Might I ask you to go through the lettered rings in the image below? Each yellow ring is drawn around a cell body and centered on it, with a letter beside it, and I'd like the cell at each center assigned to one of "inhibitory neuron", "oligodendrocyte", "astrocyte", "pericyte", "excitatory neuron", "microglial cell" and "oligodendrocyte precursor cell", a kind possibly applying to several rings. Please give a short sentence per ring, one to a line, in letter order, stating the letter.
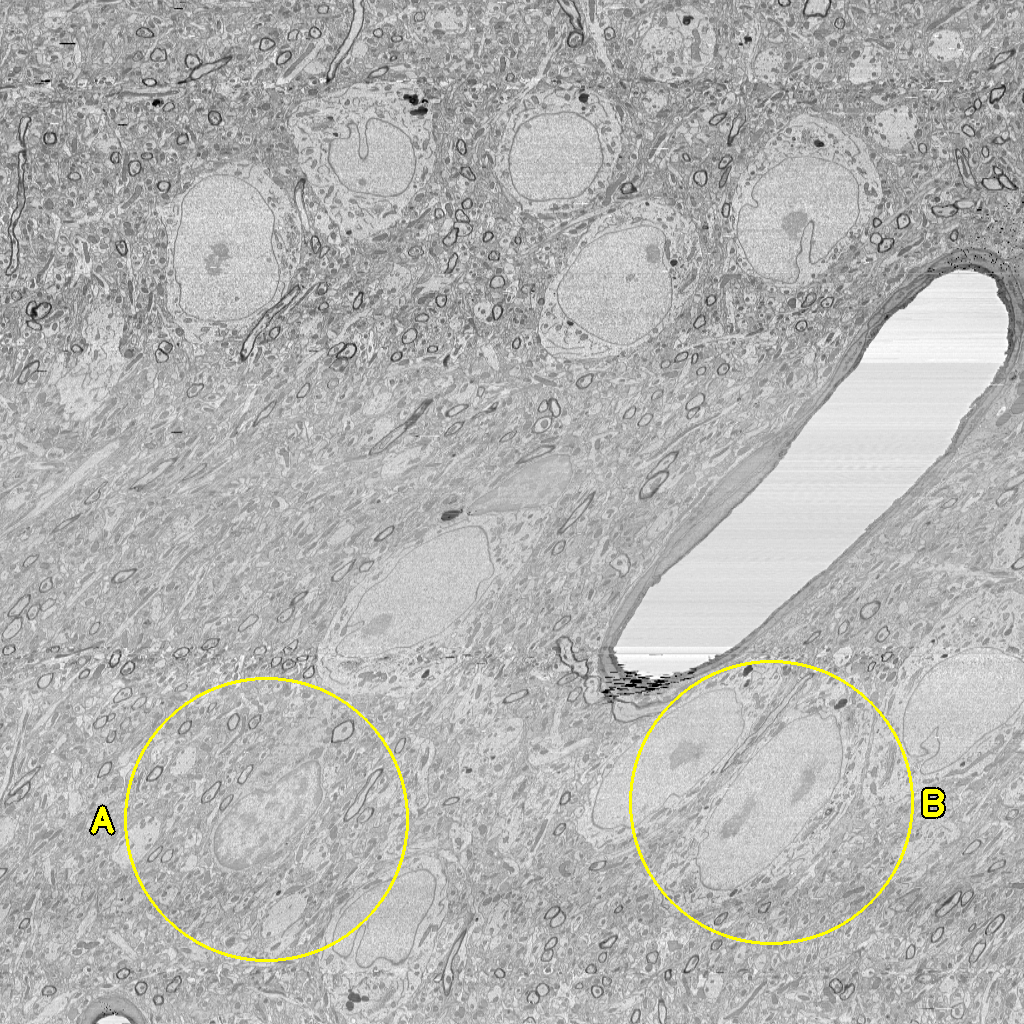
Ring A is centered on the body of an oligodendrocyte.
Ring B is centered on the body of an inhibitory neuron.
